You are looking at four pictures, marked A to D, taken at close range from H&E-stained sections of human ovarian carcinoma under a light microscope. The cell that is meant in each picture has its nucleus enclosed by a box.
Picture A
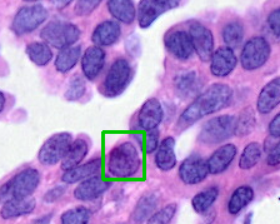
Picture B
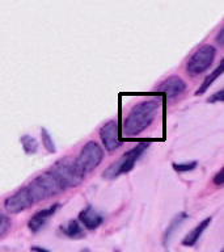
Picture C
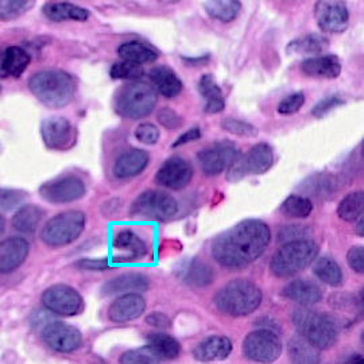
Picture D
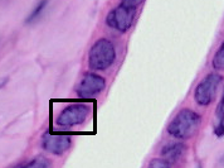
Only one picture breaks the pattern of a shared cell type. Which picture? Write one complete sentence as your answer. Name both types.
Unlike the rest, which show carcinoma cells, picture C shows a “macrophage or monocyte”.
